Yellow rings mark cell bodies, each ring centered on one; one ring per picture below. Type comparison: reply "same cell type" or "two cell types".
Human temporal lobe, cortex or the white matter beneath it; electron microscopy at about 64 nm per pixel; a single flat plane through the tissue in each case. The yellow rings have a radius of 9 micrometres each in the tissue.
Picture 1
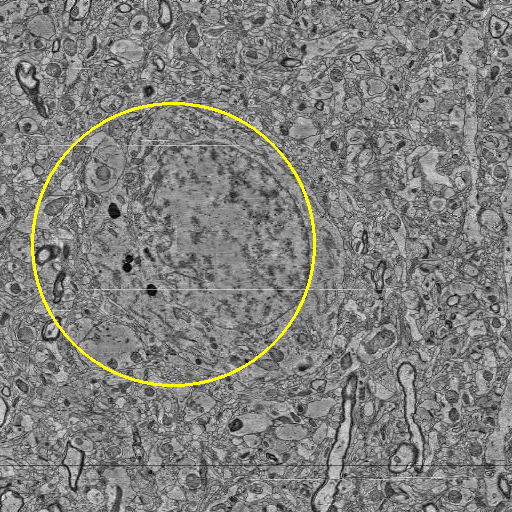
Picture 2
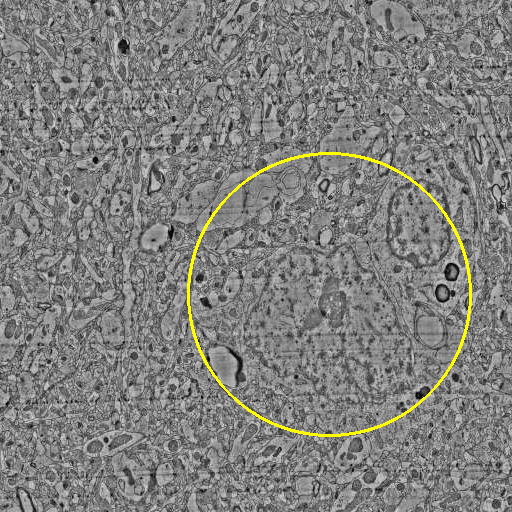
same cell type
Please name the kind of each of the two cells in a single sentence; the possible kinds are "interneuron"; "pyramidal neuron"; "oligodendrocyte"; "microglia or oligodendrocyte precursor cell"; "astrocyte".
Each of the two rings is centred on an interneuron.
